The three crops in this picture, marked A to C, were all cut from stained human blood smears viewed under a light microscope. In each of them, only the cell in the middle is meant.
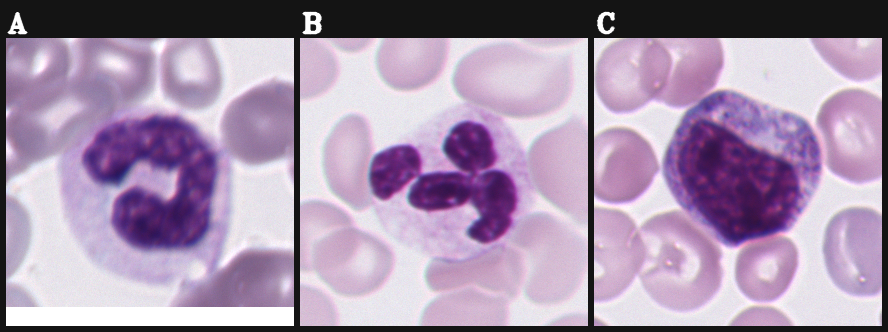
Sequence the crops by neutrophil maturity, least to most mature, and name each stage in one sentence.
By maturity, starting with the least mature, the order is crop C (a metamyelocyte), crop A (a band neutrophil) and crop B (a segmented neutrophil).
